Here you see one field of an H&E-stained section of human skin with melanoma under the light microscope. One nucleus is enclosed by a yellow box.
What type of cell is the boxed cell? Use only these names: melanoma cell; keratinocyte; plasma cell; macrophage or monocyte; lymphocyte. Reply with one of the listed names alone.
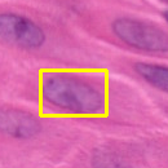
keratinocyte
